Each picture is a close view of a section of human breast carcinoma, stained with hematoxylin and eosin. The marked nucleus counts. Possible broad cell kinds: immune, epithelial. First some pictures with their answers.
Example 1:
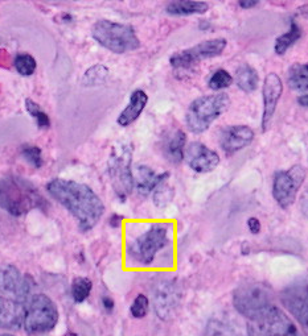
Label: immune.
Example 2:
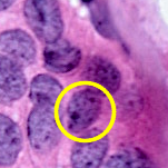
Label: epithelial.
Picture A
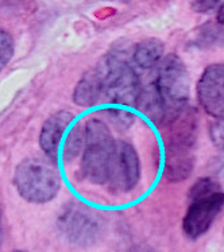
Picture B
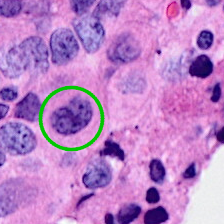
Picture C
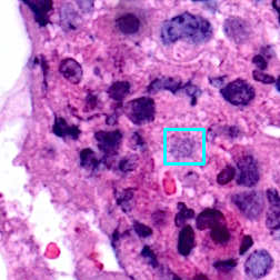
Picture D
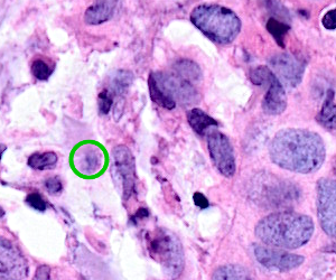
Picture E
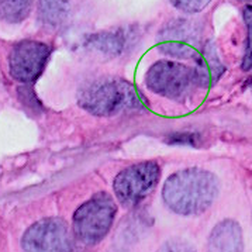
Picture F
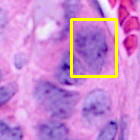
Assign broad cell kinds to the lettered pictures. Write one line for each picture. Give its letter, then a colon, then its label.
A: epithelial.
B: epithelial.
C: immune.
D: immune.
E: epithelial.
F: epithelial.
